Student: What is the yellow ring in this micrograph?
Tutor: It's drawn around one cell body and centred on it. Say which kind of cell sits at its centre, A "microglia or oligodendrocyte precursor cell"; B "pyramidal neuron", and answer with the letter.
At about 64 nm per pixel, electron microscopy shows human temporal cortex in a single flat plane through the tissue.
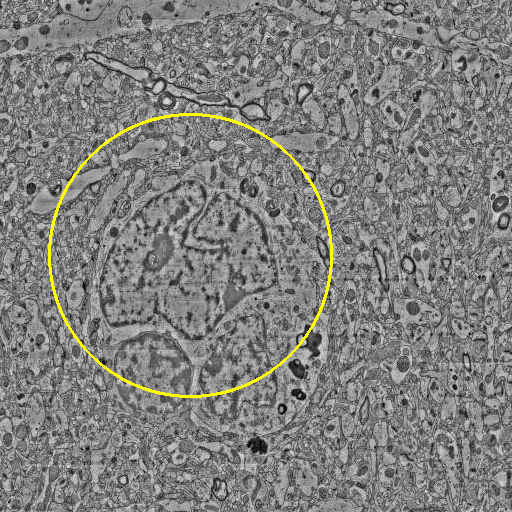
A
